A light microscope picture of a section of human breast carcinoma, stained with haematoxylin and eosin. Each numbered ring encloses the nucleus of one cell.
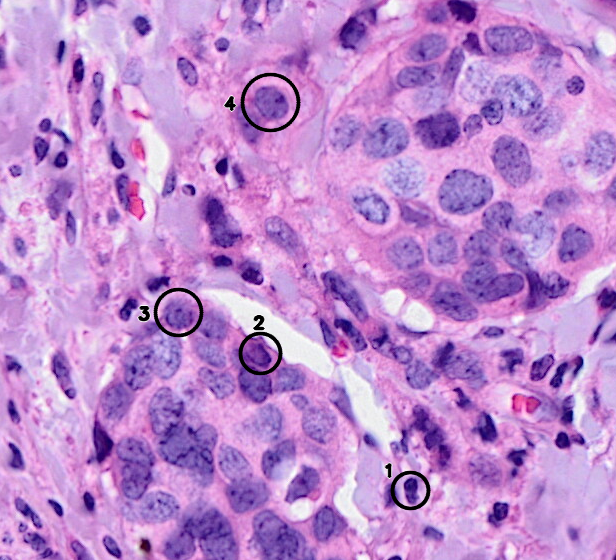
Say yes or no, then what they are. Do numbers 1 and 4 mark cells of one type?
No, cell 1 is a lymphocyte, and cell 4, in contrast, is a carcinoma cell.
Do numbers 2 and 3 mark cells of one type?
Yes, cells 2 and 3 are carcinoma cells, both of them.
